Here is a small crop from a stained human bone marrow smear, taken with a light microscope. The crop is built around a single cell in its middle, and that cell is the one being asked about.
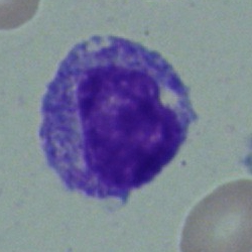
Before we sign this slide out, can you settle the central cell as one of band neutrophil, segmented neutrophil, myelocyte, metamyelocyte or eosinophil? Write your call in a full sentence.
Framed in the middle of the crop is a myelocyte.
